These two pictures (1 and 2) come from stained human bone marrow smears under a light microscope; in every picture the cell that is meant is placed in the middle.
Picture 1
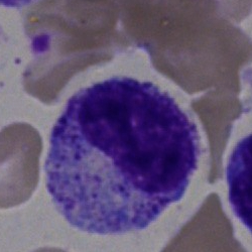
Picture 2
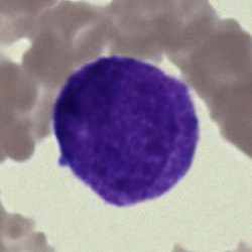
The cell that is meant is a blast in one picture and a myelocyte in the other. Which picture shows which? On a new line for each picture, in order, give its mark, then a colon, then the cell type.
1: myelocyte
2: blast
